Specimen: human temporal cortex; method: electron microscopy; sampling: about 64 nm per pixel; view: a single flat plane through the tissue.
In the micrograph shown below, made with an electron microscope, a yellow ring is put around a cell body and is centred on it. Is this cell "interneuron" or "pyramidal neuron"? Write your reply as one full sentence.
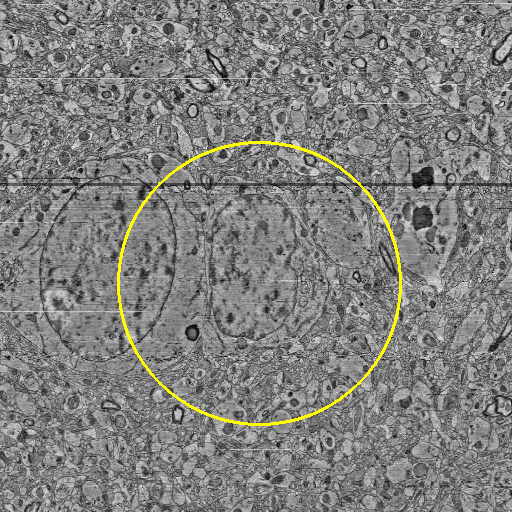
In the micrograph, an interneuron is the cell at the centre of the yellow ring.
